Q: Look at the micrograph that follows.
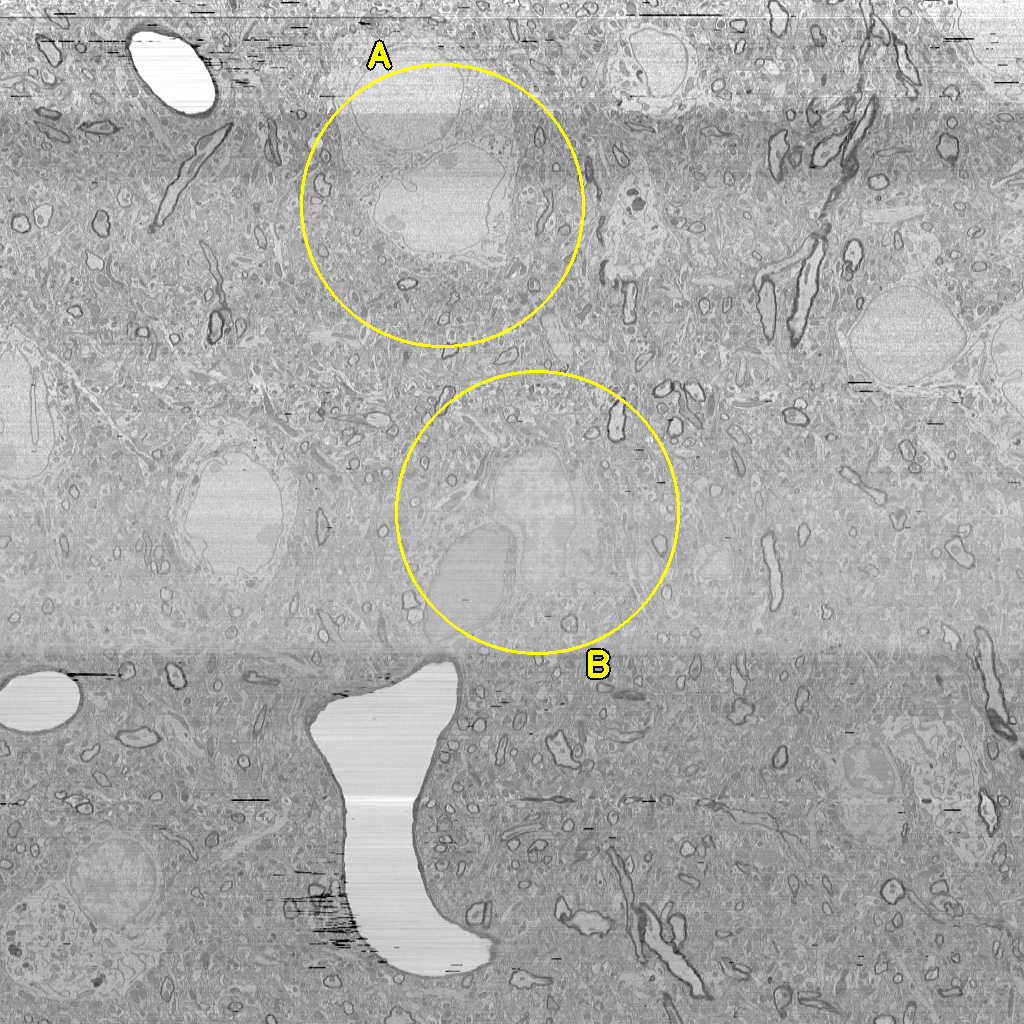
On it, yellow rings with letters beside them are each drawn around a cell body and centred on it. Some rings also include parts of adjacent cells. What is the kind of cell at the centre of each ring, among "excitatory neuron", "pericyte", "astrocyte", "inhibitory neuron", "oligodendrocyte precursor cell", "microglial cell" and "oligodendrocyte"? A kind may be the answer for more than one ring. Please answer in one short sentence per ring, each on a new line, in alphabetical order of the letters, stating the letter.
Ring A surrounds the cell body of an excitatory neuron.
Ring B surrounds the cell body of an oligodendrocyte.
